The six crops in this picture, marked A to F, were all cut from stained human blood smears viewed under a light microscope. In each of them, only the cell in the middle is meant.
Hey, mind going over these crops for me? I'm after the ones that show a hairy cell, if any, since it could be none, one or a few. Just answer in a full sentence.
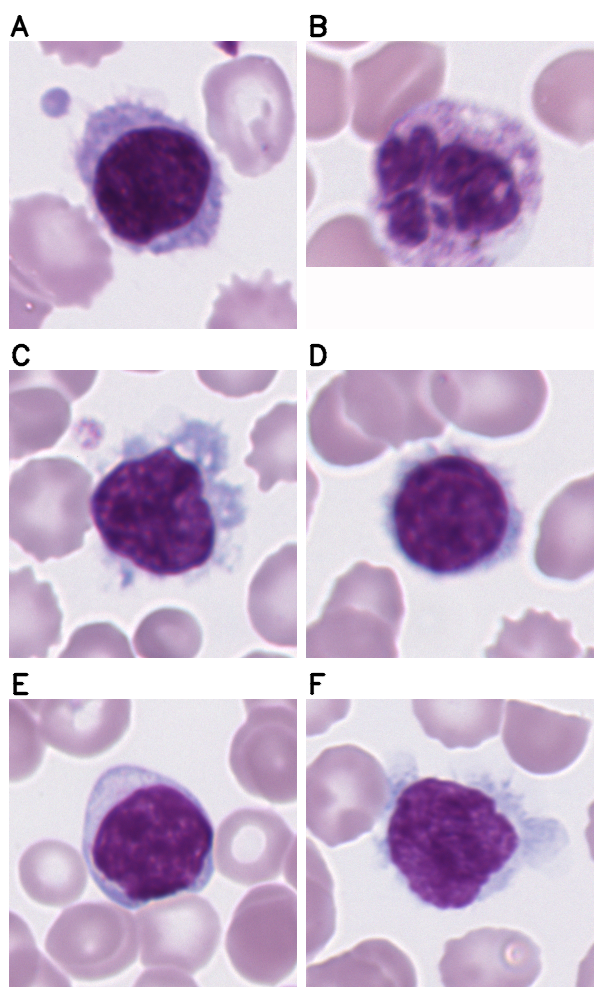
Within this set, crops A, C, D and F show hairy cells.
